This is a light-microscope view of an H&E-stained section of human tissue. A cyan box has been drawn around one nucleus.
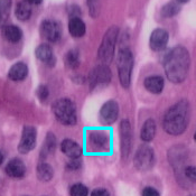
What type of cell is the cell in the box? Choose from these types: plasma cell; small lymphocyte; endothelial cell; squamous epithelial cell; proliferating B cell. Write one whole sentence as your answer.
In cellular terms, the cell in the box is a plasma cell.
